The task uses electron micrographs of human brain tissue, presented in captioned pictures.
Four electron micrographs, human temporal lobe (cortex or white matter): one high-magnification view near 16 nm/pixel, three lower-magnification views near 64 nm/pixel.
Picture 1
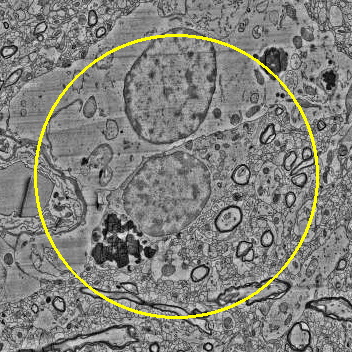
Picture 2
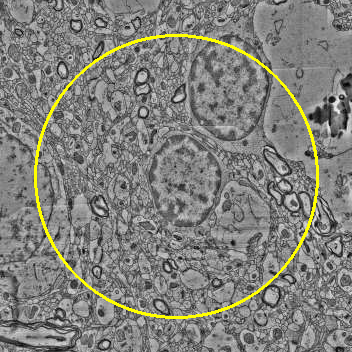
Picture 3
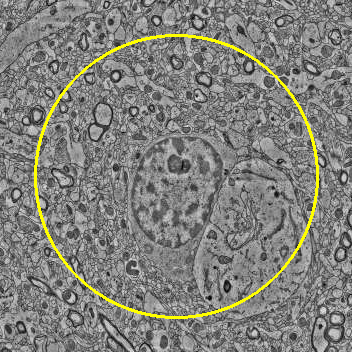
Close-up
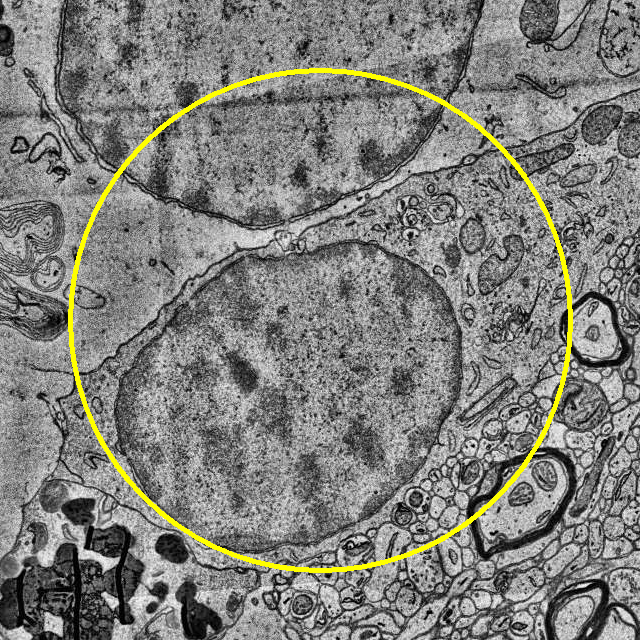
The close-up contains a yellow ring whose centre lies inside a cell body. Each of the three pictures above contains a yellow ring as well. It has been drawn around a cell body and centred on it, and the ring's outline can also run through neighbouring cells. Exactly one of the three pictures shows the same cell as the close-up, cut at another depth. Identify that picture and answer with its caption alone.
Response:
Picture 1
